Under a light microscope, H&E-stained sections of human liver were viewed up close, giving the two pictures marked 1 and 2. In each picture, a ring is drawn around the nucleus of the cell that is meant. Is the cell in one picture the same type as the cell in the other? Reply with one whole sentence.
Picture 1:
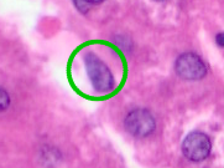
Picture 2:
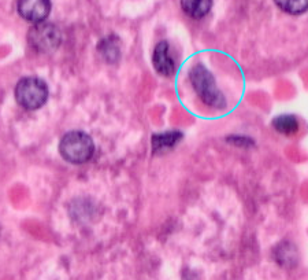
Yes, they are the same type: both are Kupffer cells.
